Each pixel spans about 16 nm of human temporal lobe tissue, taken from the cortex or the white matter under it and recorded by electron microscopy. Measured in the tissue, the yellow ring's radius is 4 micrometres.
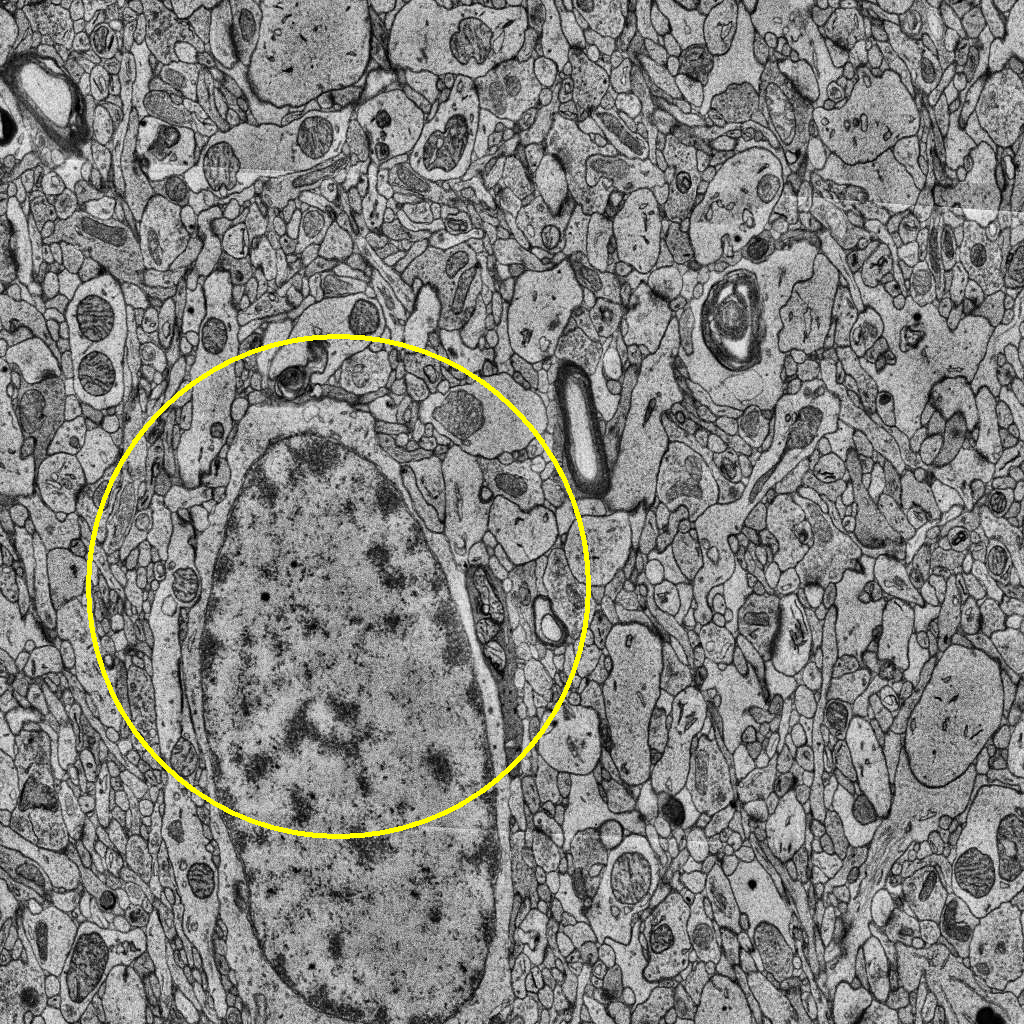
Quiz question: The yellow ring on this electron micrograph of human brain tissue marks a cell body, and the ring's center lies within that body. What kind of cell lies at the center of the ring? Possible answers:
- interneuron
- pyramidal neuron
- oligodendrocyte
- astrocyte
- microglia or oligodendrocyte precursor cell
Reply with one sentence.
The ring's center lies on a microglial cell or oligodendrocyte precursor cell.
